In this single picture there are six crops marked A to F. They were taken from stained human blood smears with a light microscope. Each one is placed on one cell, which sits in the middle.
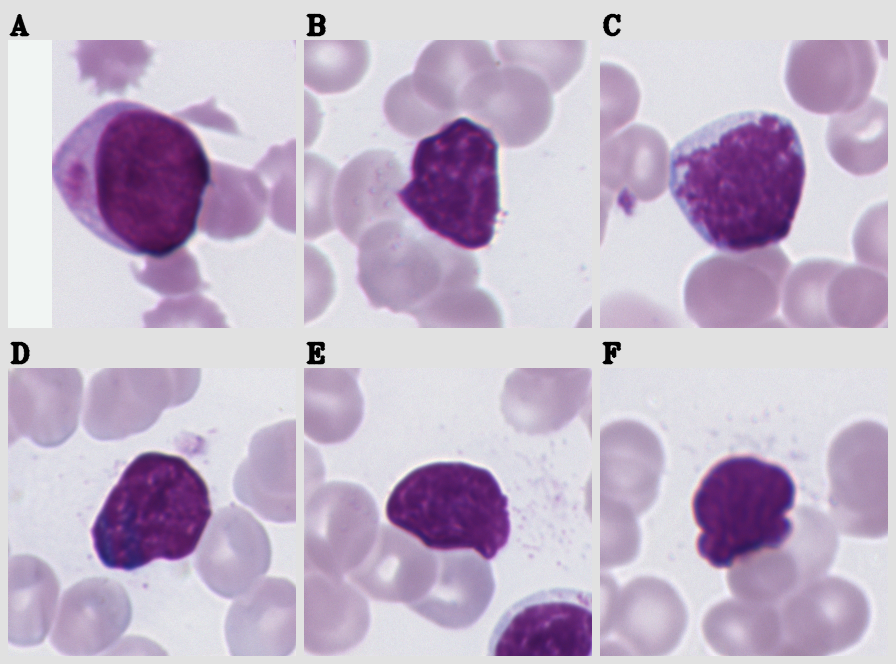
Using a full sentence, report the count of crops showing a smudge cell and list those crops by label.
Crops B, D, E and F are the four that show smudge cells.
